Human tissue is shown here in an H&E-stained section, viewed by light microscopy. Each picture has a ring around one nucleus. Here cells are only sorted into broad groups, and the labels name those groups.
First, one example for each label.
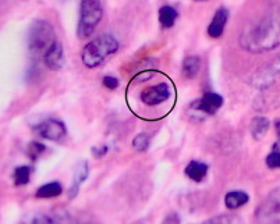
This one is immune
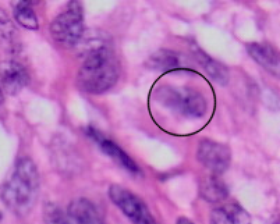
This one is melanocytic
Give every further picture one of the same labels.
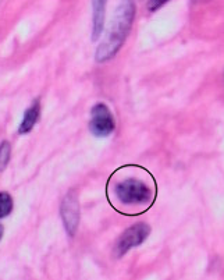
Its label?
immune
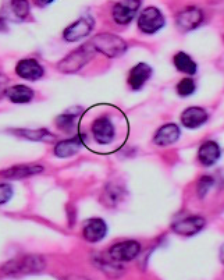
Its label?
immune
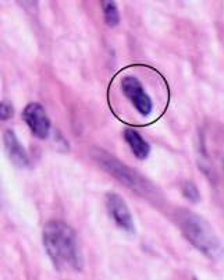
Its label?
immune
